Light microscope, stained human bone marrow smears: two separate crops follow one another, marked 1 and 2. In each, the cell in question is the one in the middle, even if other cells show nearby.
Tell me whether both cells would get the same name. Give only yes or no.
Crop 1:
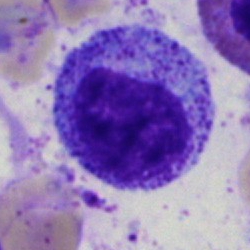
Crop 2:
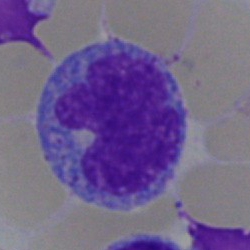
no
